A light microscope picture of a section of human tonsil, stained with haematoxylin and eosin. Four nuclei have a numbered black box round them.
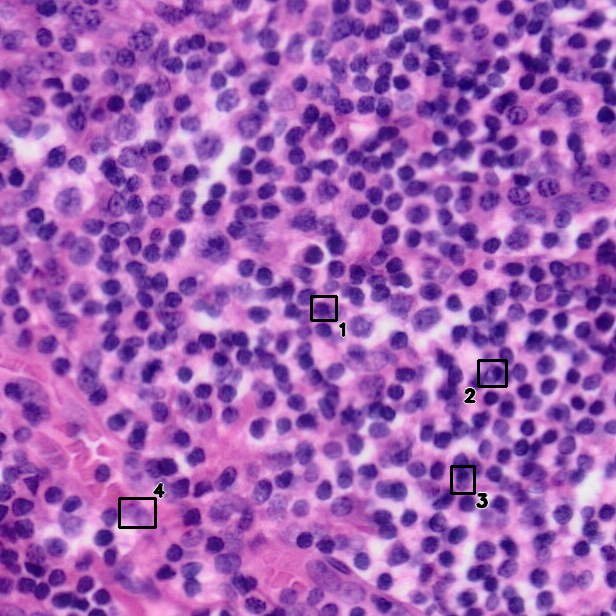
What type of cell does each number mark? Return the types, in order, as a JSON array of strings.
["small lymphocyte", "small lymphocyte", "small lymphocyte", "endothelial cell"]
